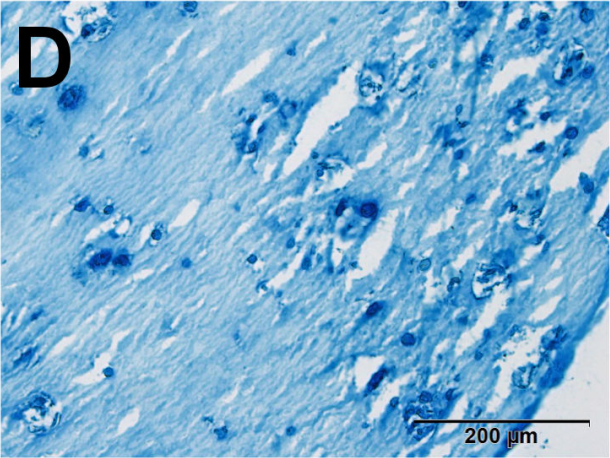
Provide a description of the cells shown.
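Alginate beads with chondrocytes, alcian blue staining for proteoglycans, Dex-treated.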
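A fairly uniform light blue gel with faint streaky texture contains round cells scattered singly, many with dark blue nuclei and some surrounded by small clear spaces and darker blue rims. Elongated white clefts run diagonally through the gel in one direction. A darker blue band runs along the lower right edge.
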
